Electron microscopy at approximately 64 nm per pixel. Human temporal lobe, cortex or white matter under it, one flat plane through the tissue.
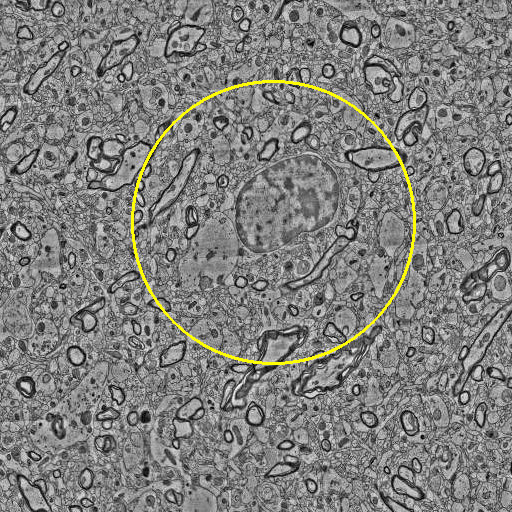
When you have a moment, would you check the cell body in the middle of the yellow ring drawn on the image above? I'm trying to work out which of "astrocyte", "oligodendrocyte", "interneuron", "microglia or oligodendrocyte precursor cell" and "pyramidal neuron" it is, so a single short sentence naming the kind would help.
This cell body belongs to a microglial cell or oligodendrocyte precursor cell.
